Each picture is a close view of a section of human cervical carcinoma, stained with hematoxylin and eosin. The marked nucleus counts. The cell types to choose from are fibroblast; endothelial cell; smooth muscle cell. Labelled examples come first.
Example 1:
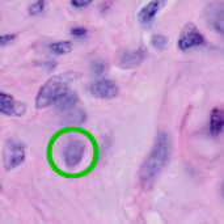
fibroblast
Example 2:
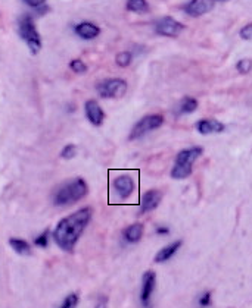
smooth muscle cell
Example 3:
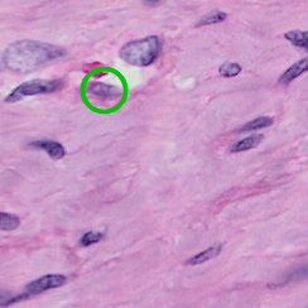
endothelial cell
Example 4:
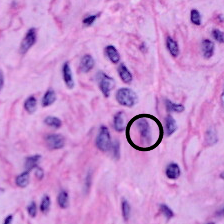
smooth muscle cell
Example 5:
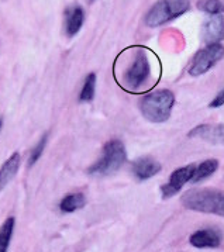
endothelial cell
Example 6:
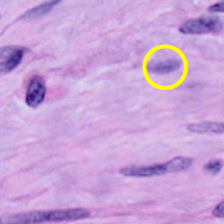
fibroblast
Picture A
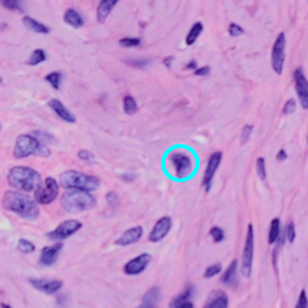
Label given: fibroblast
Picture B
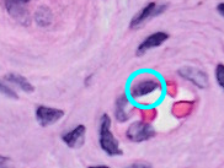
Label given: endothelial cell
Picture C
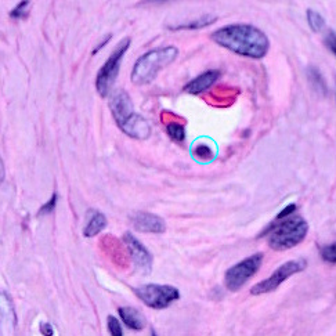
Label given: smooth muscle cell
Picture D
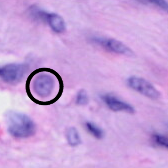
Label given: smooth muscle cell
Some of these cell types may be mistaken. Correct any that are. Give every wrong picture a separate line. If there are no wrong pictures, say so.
C: not smooth muscle cell but endothelial cell
D: not smooth muscle cell but endothelial cell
